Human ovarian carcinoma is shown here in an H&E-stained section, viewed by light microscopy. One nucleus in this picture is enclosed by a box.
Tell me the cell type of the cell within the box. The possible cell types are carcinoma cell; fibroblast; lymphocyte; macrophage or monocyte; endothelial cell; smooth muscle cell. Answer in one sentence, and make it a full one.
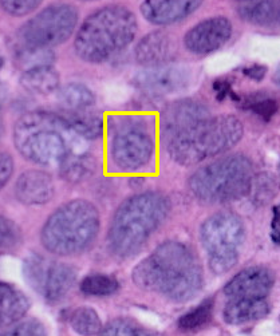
Within this tissue, the cell within the box is a carcinoma cell.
